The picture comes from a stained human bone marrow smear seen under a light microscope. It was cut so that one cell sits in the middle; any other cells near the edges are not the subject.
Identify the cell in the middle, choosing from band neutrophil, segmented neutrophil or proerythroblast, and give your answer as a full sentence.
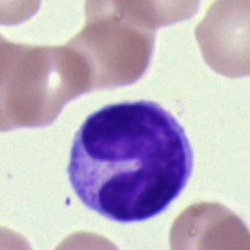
In this smear crop, the middle cell is a band neutrophil.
